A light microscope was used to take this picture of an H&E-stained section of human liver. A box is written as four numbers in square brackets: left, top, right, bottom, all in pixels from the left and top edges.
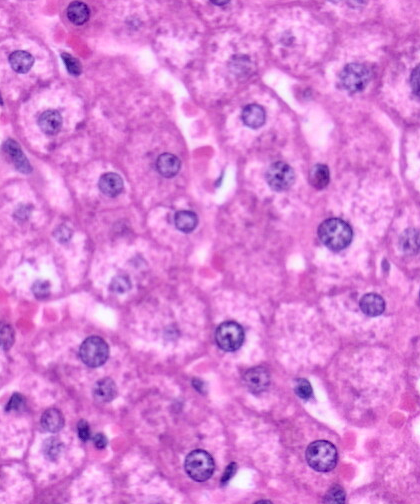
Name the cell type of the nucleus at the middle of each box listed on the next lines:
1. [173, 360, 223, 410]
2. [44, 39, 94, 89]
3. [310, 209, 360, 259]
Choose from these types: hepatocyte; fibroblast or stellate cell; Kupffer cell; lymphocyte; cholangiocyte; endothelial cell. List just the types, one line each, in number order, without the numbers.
Kupffer cell
endothelial cell
hepatocyte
